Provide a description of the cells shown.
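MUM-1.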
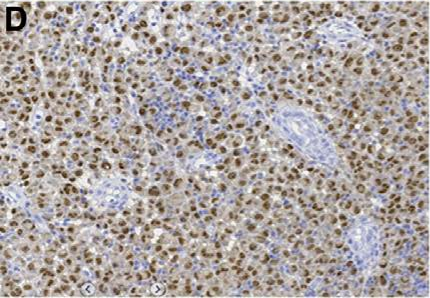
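Tumor cells form a dense sheet, with most of their round nuclei stained brown against a pale blue background. A few small blood vessels with pale walls and bluish, unstained cells cross the field.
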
